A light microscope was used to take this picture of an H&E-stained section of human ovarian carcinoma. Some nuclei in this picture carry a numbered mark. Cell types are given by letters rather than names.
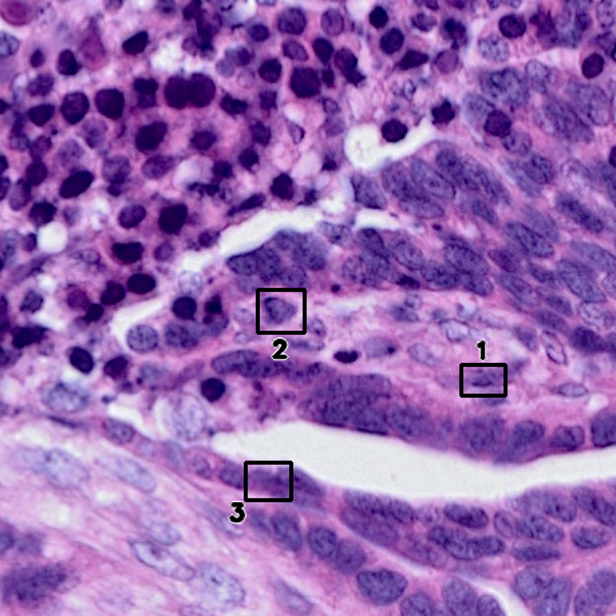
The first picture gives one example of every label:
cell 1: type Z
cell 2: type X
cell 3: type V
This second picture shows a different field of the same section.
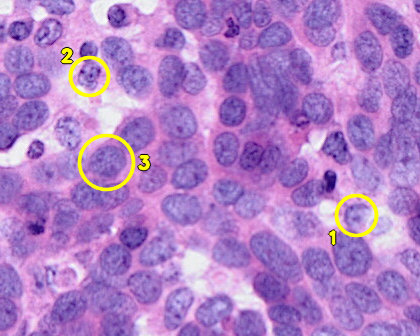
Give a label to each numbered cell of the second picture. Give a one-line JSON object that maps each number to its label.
{"1": "type X", "2": "type X", "3": "type V"}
